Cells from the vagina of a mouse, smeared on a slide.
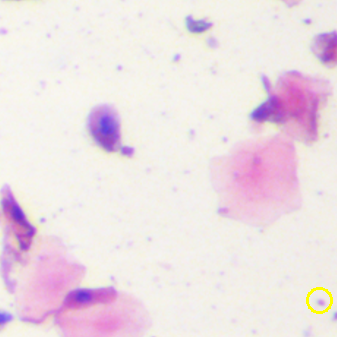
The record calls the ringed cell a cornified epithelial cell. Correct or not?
Not correct; it is a leukocyte.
